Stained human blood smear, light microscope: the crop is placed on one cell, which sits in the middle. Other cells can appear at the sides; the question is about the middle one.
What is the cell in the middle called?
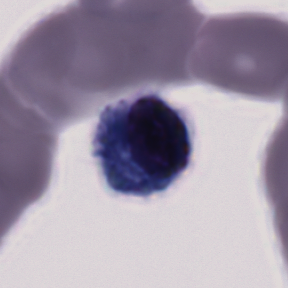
plasma cell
